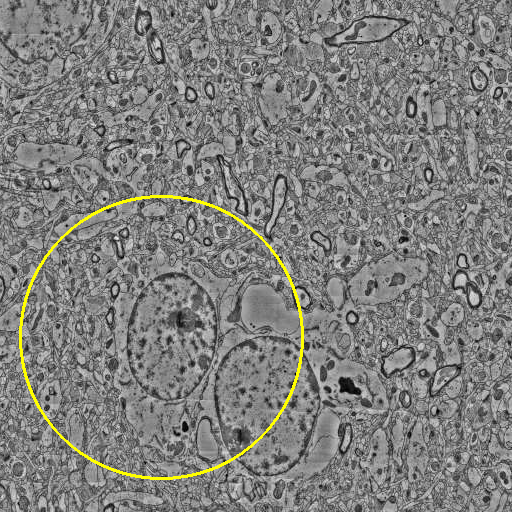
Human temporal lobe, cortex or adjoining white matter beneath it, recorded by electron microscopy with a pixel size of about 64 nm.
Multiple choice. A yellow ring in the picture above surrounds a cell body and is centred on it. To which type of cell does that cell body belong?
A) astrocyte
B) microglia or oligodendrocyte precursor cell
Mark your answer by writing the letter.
A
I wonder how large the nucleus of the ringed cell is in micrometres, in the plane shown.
The nucleus is approximately 8 micrometers long by 6 micrometers wide in this plane.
